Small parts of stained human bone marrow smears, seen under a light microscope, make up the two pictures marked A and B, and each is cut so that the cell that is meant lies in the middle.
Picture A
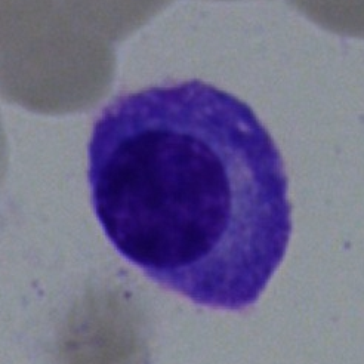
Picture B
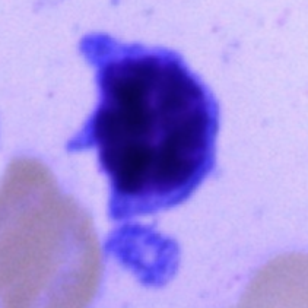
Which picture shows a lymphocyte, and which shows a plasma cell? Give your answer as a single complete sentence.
It is picture A that shows a plasma cell, and picture B that shows a lymphocyte.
